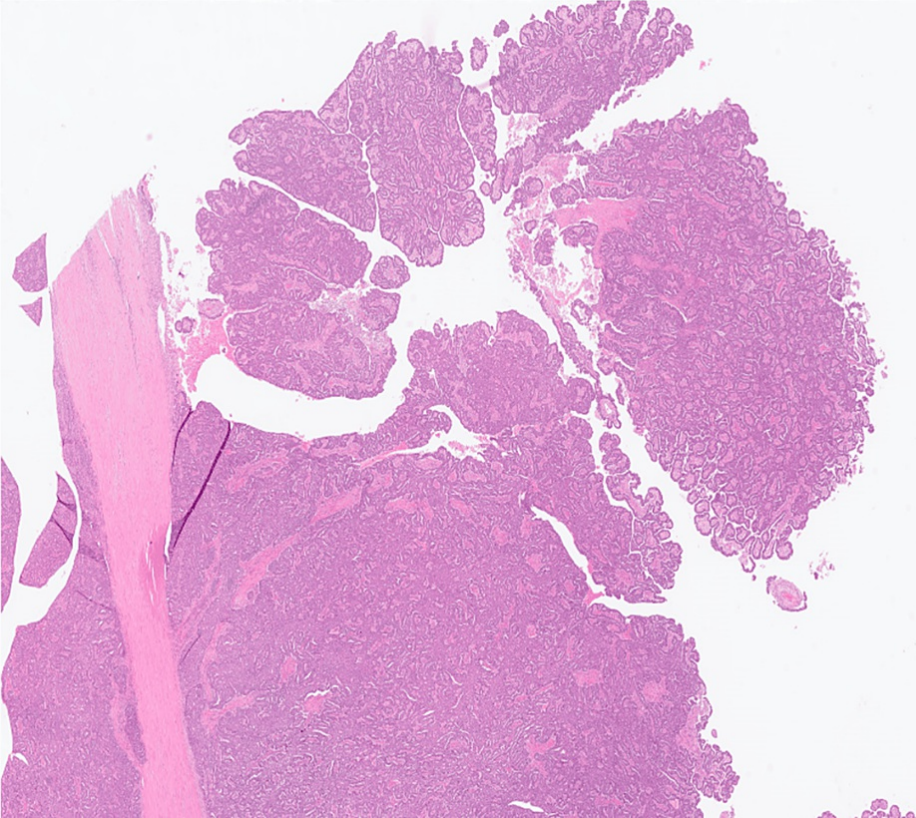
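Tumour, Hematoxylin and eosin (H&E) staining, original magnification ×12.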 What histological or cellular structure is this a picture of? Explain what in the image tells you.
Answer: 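Papillary architecture. Many finger-like fronds project into open spaces at the upper part of the tissue. The fronds have thin pink cores lined by a continuous purple border. The lower part is a densely packed, crowded mass of similar small structures.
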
